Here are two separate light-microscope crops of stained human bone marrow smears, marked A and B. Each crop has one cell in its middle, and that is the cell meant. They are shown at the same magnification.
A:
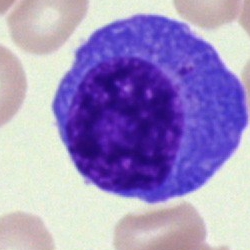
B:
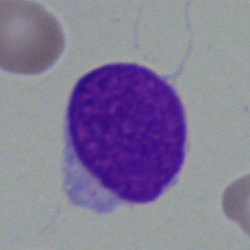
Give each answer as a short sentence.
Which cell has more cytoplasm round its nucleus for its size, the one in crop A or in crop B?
It is the cell in crop A that is filled less by its nucleus.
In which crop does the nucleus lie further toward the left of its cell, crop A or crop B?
It is the nucleus in crop A that lies further toward the left of its cell.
